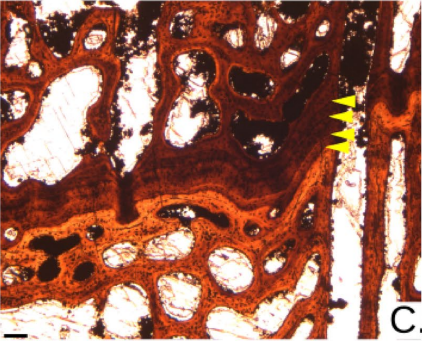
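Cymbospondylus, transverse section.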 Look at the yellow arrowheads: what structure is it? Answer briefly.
Growth lines.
